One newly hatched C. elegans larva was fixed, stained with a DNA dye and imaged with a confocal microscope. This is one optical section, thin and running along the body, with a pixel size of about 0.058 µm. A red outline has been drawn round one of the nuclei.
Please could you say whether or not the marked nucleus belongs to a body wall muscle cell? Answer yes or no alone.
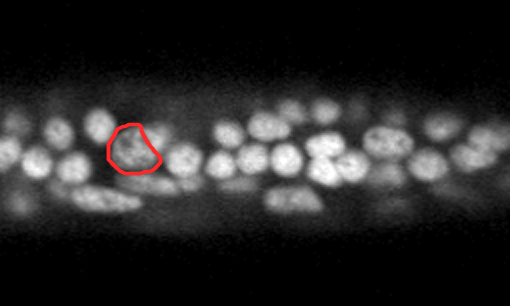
no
